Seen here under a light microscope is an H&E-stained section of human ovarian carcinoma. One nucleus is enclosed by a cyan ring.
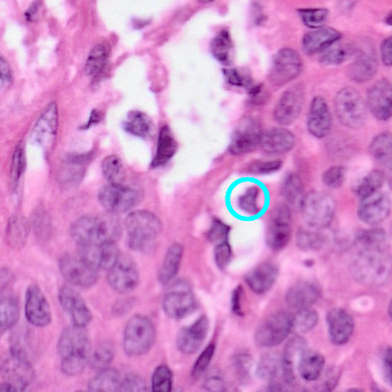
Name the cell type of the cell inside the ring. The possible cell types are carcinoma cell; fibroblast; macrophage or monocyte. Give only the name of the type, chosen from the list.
macrophage or monocyte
